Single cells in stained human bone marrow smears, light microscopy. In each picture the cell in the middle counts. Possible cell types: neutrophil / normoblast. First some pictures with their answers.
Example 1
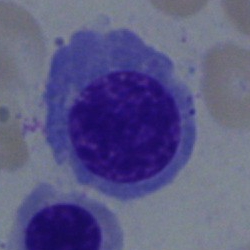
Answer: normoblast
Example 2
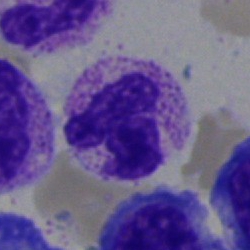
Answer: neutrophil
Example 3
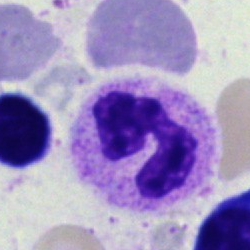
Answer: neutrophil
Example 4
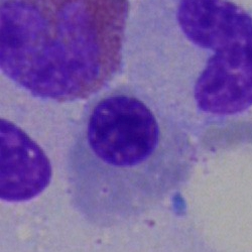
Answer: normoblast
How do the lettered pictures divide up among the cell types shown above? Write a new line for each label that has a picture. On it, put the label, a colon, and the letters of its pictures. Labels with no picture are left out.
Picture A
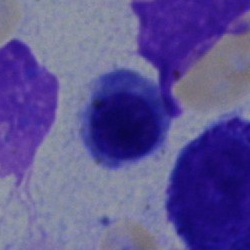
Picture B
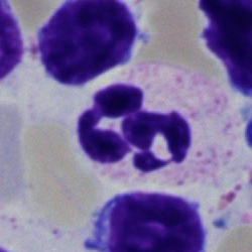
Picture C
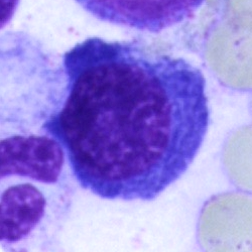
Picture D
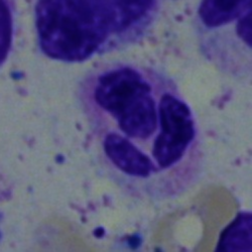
neutrophil: B, D
normoblast: A, C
